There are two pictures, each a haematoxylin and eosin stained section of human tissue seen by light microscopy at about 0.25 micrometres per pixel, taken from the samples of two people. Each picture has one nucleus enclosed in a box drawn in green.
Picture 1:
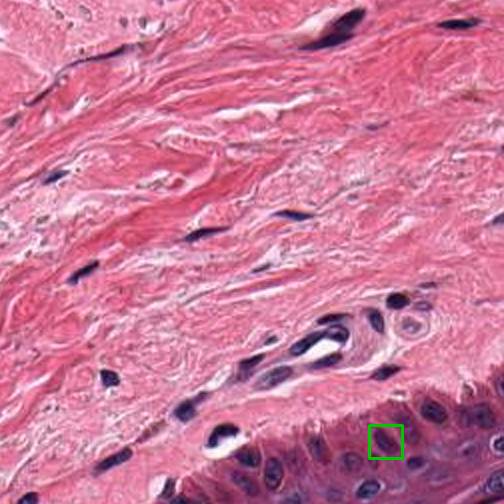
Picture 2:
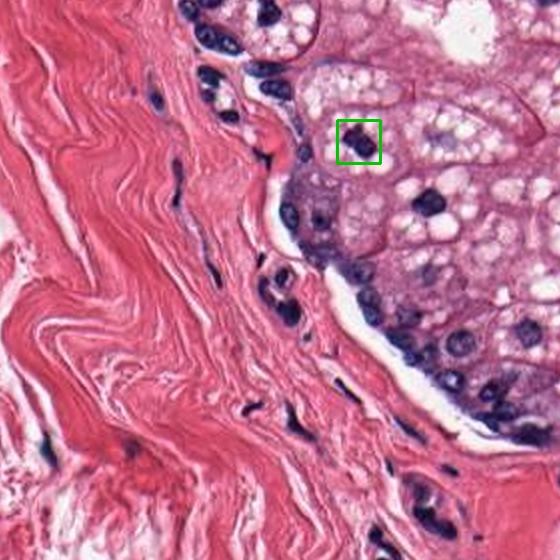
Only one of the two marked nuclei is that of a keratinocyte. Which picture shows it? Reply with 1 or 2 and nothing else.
1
